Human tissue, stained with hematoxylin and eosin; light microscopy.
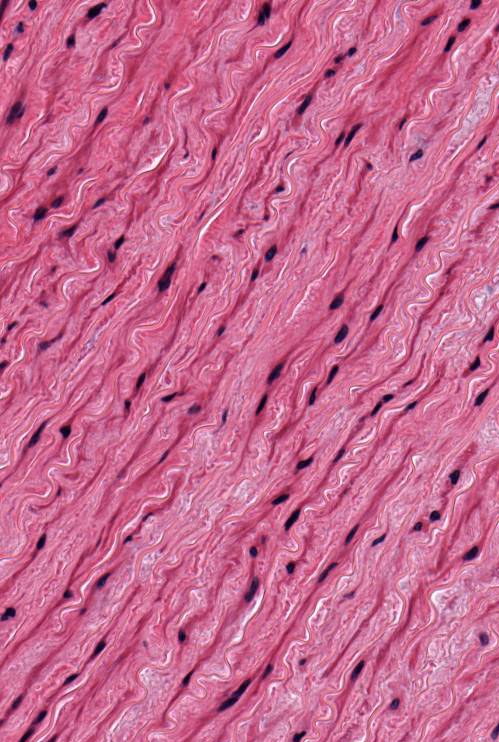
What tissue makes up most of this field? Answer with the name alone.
tunica media of an artery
